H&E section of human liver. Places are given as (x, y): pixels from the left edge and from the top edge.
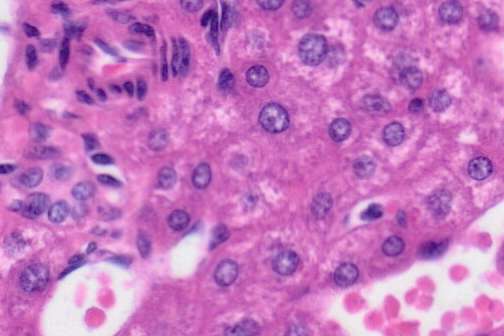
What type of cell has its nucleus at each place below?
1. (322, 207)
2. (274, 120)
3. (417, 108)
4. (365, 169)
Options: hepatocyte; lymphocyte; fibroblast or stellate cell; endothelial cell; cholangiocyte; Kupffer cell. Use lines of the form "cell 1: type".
cell 1: hepatocyte
cell 2: hepatocyte
cell 3: fibroblast or stellate cell
cell 4: hepatocyte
